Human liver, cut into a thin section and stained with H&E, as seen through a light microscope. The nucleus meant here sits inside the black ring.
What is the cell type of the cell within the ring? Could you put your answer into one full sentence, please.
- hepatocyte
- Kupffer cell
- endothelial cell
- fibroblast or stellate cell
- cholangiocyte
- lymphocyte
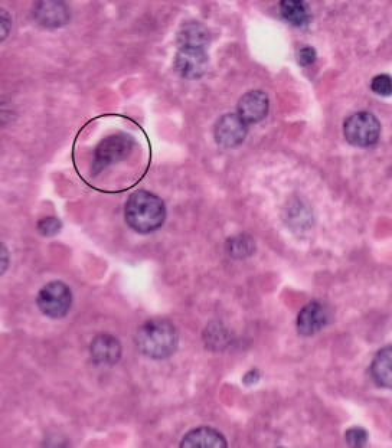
Typologically, the cell within the ring is a Kupffer cell in this section.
